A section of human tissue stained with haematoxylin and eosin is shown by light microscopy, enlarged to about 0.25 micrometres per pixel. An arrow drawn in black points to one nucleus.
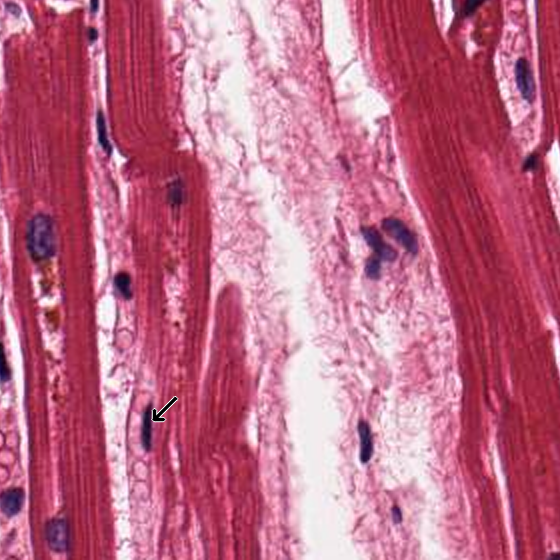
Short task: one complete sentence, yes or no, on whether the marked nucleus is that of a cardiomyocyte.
No, instead of a cardiomyocyte, a supporting cell is what the marked nucleus belongs to.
